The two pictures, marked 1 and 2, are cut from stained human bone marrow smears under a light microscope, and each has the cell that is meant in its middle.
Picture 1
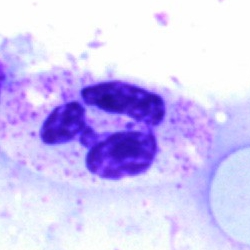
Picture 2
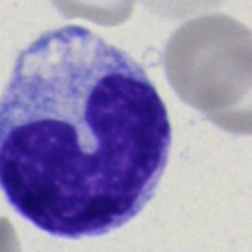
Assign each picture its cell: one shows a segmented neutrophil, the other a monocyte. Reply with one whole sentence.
Picture 1 shows a segmented neutrophil and picture 2 shows a monocyte.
